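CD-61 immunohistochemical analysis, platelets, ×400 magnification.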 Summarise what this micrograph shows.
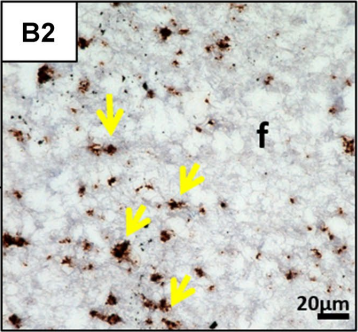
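The background is a pale, loosely woven fibrous meshwork with clear spaces between the strands. Through it lie many irregular brown to dark brown granular aggregates of varying size, some single and small, others grouped into larger clusters. They are spread fairly evenly across the field without forming bands. No cells with blue nuclei are apparent, so the field consists of fibrin and the brown aggregates alone.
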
